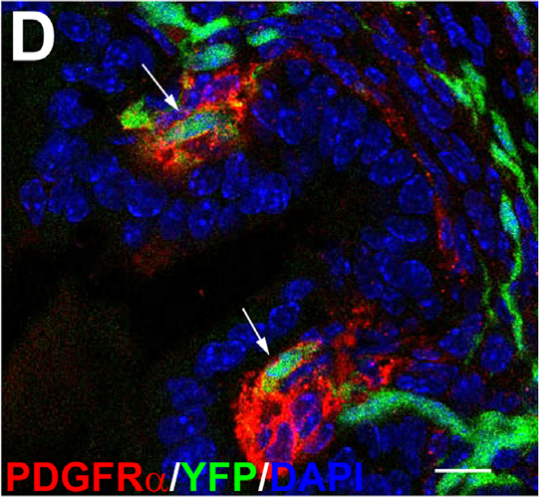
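These are developing villi of the small intestine, each covered by an epithelium of densely packed blue nuclei around a mesenchymal core. In the cores, clusters of cells outlined in red lie together with green cells, some showing both colours. Elongated green cells run along the base of the villi in the underlying wall.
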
